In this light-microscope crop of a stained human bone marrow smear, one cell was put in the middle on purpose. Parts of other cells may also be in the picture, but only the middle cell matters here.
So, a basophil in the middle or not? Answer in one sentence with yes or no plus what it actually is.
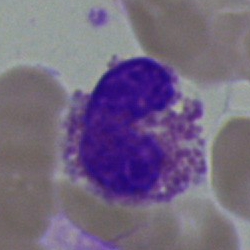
No, the cell in the middle of the field is an eosinophil, not a basophil as suggested.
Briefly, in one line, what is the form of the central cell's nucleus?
The cell carries one compact nucleus shaped round, oval or like a kidney.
